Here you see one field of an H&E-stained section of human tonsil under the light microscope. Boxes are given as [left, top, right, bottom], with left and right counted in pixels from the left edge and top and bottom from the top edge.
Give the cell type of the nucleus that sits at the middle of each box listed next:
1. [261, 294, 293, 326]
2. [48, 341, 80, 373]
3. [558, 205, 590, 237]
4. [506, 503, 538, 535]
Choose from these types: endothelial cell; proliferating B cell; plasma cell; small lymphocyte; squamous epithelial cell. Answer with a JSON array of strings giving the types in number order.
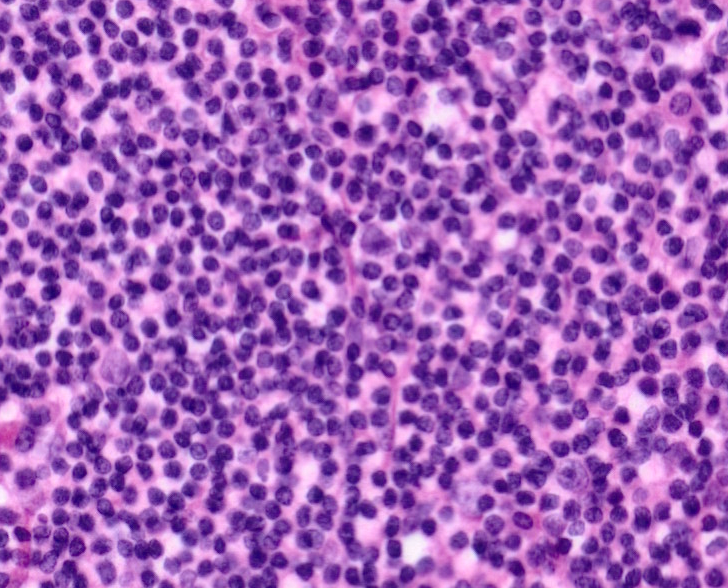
["small lymphocyte", "small lymphocyte", "small lymphocyte", "plasma cell"]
